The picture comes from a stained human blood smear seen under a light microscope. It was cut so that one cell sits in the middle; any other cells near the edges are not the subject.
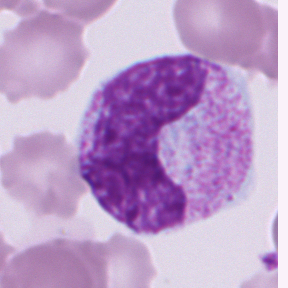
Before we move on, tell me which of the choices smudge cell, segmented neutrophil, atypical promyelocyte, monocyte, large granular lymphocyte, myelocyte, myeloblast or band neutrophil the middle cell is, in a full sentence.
The single cell at the center of the crop is a band neutrophil.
